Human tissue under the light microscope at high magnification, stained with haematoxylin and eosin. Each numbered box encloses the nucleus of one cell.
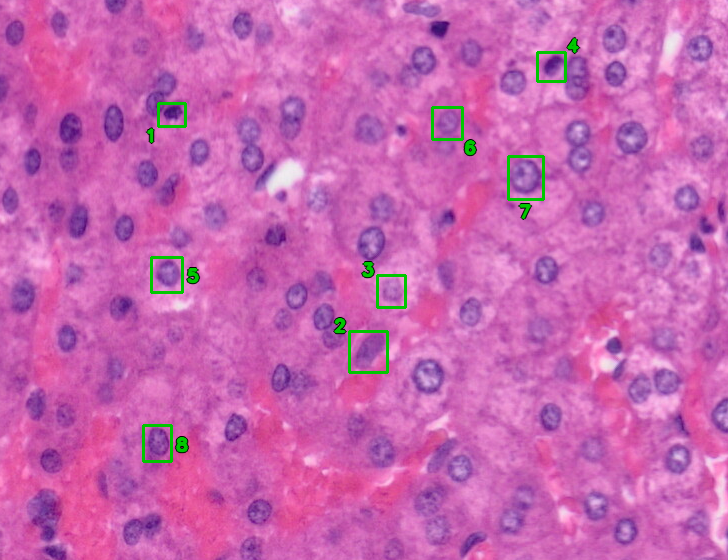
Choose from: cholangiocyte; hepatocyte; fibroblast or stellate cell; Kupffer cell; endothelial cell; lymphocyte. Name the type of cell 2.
Kupffer cell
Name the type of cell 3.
hepatocyte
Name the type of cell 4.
fibroblast or stellate cell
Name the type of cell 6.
hepatocyte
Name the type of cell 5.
hepatocyte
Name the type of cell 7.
hepatocyte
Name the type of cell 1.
fibroblast or stellate cell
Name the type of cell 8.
hepatocyte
